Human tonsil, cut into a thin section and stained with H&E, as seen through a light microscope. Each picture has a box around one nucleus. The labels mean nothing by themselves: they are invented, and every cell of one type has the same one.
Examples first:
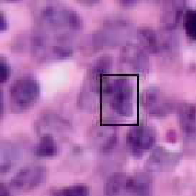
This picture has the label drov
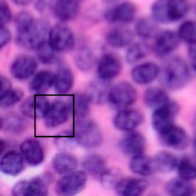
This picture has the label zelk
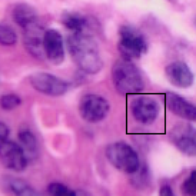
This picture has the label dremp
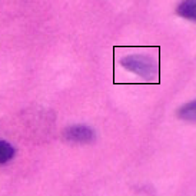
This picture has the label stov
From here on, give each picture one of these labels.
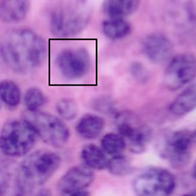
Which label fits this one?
drov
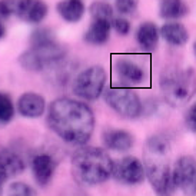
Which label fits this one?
drov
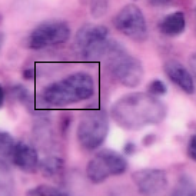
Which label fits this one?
drov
